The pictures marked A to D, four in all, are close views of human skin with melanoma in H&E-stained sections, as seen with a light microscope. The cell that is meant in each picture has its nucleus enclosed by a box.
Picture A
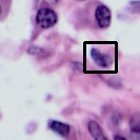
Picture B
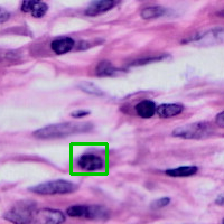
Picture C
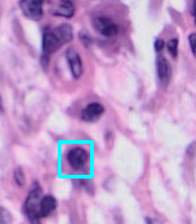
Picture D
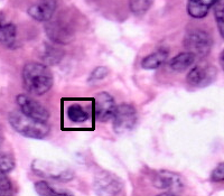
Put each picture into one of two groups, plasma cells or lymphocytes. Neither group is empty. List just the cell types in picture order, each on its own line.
lymphocyte
plasma cell
plasma cell
lymphocyte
